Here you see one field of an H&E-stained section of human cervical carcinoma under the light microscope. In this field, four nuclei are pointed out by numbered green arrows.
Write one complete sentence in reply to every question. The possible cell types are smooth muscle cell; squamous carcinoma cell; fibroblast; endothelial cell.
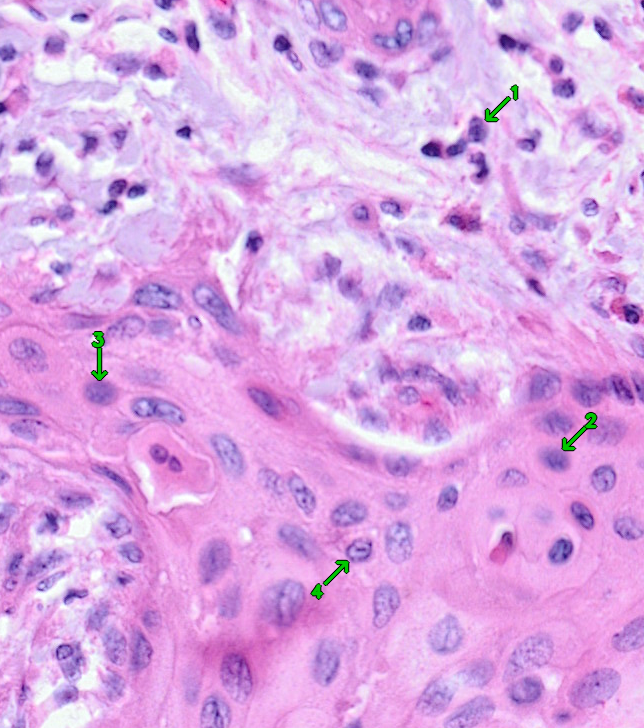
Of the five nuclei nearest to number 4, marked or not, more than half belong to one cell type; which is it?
Squamous carcinoma cells account for more than half of the five nuclei nearest to number 4.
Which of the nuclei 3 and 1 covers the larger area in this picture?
It is nucleus 3, which covers about 1.5 times the area of nucleus 1.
